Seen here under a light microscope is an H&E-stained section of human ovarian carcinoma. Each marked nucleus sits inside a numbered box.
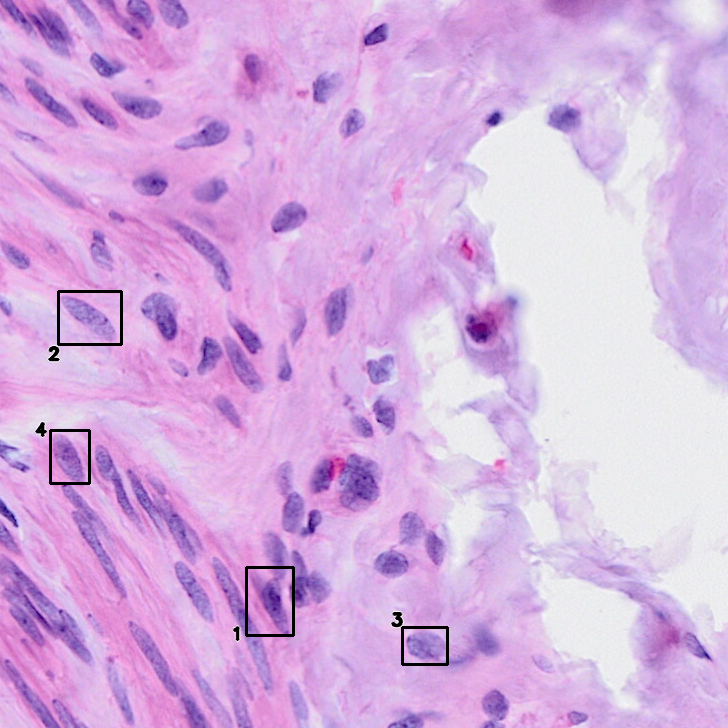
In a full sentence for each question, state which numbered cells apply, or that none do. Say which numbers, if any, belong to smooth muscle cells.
By cell type, the cells numbered 1, 2 and 4 are smooth muscle cells.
